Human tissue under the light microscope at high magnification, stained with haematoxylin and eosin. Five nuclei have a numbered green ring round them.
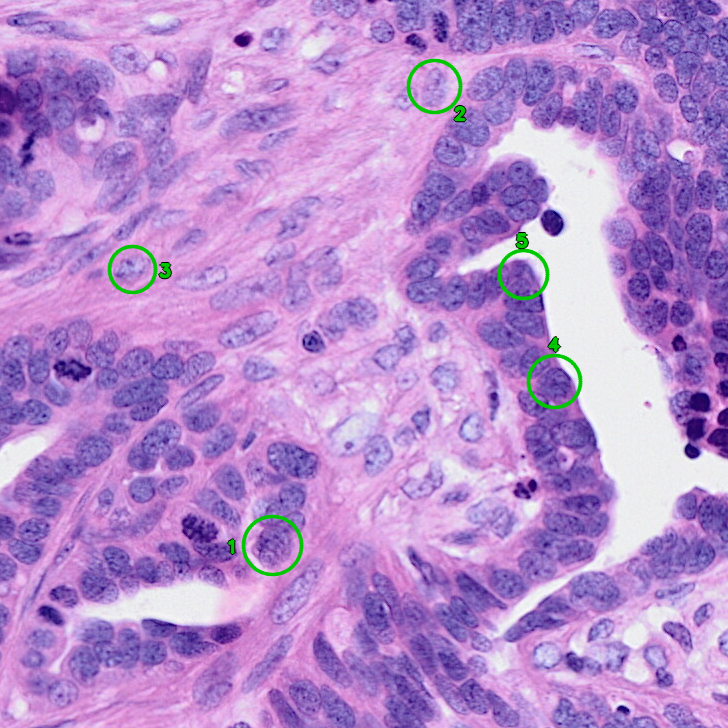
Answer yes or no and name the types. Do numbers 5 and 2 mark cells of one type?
No, that's wrong; cell 5 is a carcinoma cell and cell 2 is a fibroblast.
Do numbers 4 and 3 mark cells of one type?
No, the cell bearing number 4 is a carcinoma cell, while the one bearing number 3 is a fibroblast.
